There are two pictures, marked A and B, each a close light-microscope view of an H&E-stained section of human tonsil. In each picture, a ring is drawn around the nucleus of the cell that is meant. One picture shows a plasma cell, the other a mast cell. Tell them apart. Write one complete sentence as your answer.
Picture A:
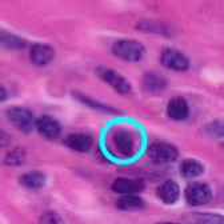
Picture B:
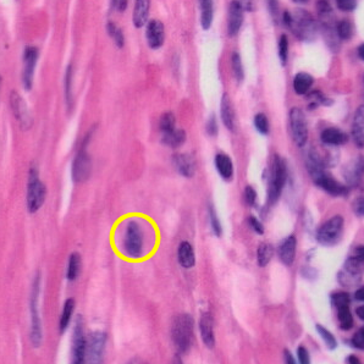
Picture A shows a plasma cell and picture B shows a mast cell.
